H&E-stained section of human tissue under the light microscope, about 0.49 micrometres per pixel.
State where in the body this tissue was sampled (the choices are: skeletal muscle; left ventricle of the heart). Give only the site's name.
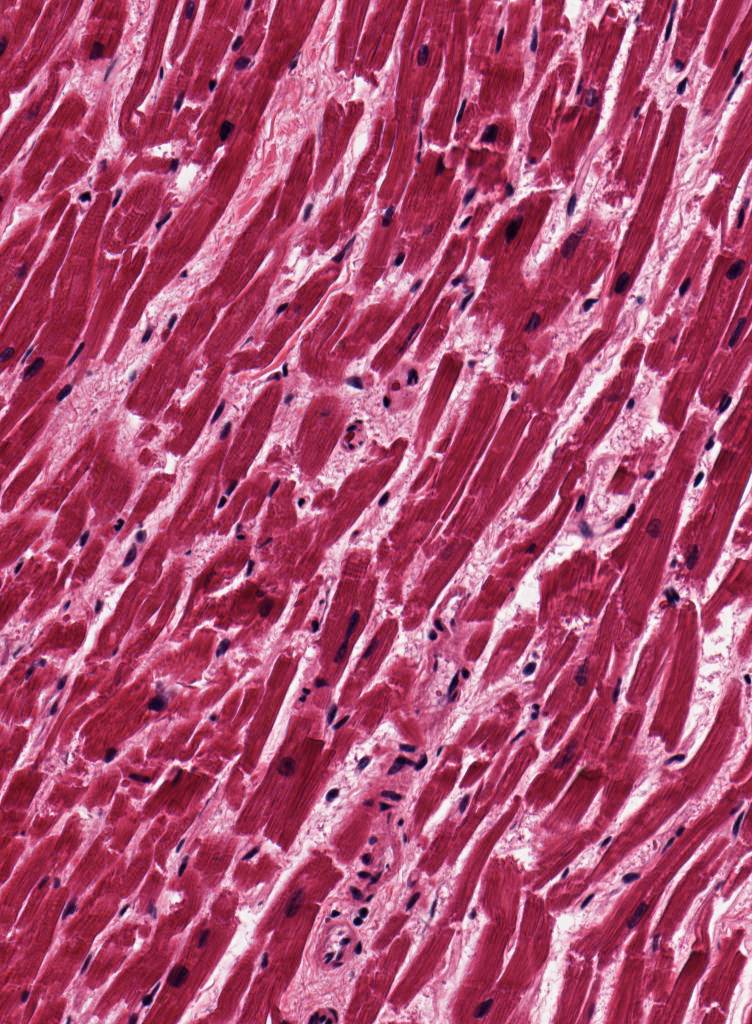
left ventricle of the heart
